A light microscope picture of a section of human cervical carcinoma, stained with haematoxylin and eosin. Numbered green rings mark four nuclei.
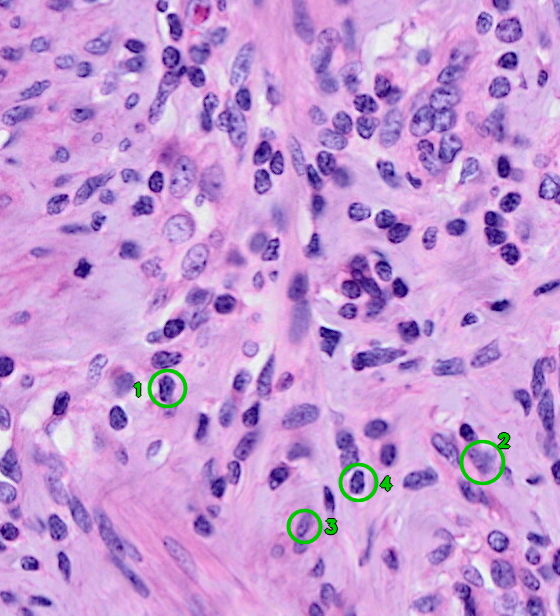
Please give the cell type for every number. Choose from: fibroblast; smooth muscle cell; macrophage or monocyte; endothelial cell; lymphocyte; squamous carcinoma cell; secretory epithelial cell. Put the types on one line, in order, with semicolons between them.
lymphocyte; endothelial cell; smooth muscle cell; lymphocyte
